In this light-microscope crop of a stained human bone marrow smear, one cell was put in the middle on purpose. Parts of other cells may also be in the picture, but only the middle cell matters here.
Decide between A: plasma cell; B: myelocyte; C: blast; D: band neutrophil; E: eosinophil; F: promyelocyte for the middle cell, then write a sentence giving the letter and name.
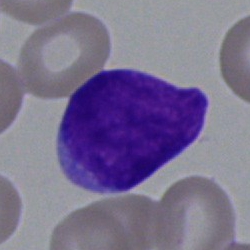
In this crop the middle cell is a blast, so option C is the correct answer.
